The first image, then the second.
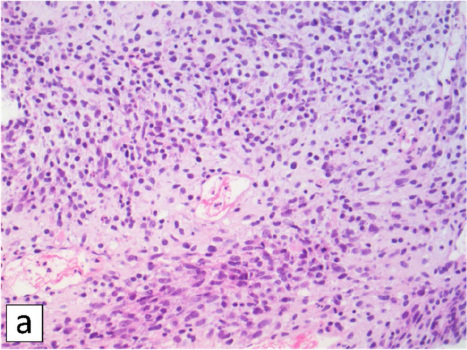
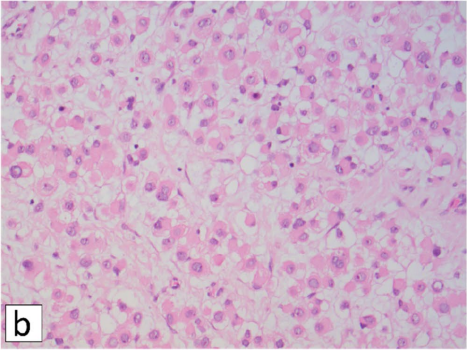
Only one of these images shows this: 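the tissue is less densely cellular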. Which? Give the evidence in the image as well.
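Second image: cells lie spaced apart in pale loose matrix. First image: cells are crowded with many overlapping dark nuclei.
Answer: the second image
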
